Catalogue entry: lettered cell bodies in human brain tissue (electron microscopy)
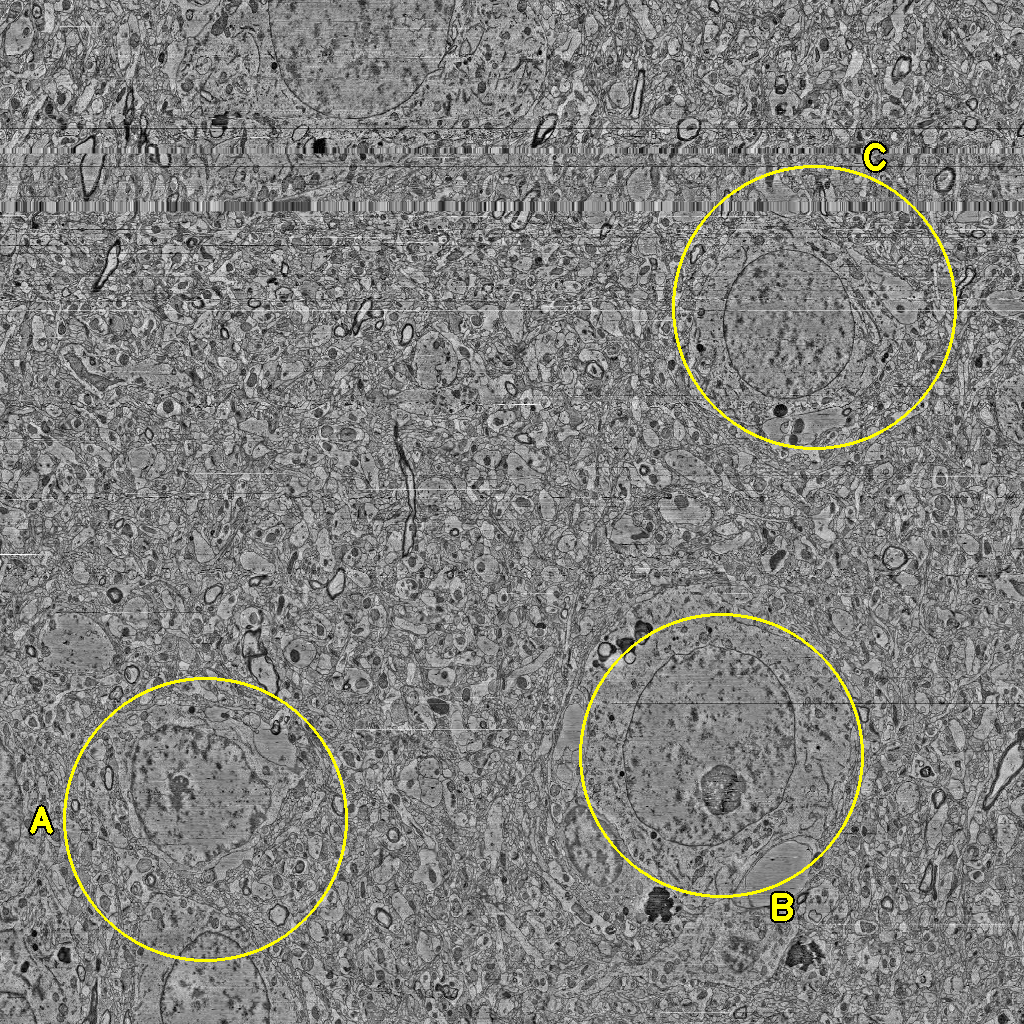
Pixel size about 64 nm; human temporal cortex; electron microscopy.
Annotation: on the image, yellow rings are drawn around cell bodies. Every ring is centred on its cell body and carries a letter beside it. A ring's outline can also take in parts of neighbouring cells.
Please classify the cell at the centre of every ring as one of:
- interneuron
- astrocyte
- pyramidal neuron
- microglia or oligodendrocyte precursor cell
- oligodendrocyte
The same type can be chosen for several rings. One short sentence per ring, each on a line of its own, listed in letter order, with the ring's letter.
Ring A is classified as an interneuron.
Ring B is classified as a pyramidal neuron.
Ring C is classified as a pyramidal neuron.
